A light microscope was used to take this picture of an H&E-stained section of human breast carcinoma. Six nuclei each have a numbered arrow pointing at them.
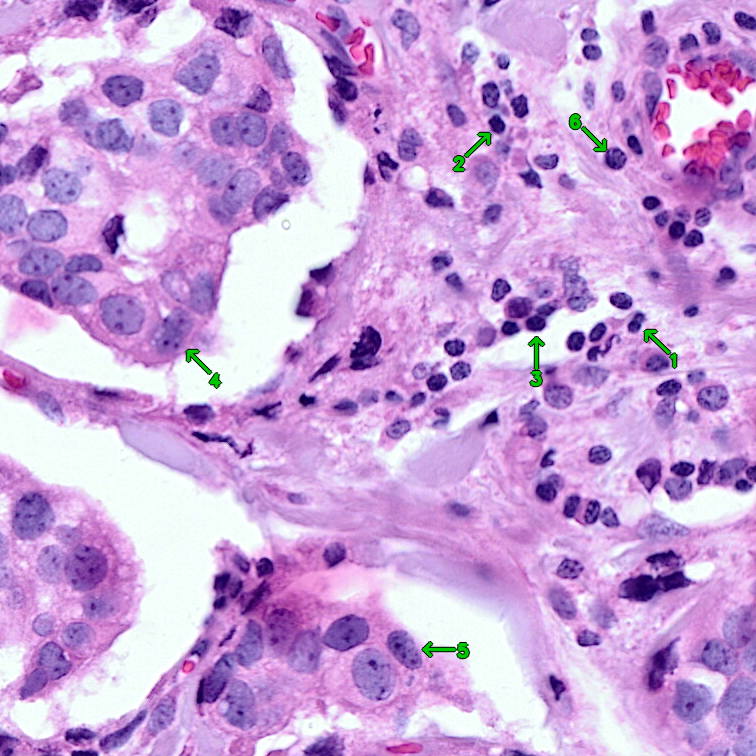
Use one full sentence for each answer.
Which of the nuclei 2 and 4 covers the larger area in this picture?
Of the two, number 4 is bigger and takes up about 4 times the area of number 2.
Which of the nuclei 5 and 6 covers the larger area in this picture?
Of the two, number 5 is bigger and takes up about 2 times the area of number 6.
